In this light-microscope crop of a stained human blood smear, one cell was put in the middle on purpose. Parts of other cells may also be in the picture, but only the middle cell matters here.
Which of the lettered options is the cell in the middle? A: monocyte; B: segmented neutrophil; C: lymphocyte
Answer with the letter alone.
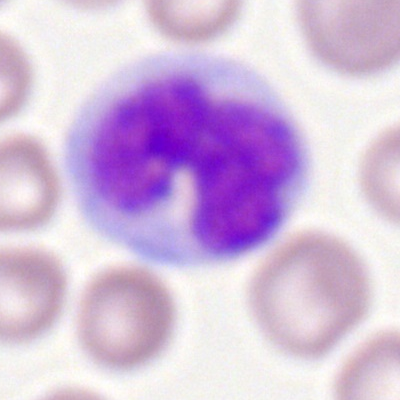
A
